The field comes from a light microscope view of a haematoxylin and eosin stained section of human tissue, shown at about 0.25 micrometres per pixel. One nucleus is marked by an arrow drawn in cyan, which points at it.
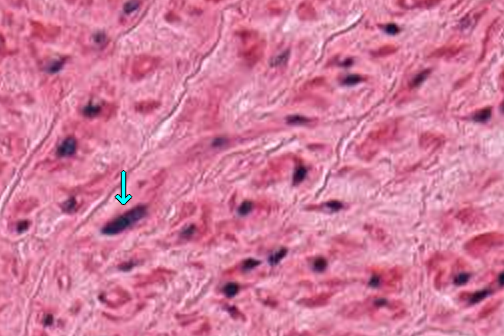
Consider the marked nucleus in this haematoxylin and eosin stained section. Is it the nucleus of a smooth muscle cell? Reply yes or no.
yes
